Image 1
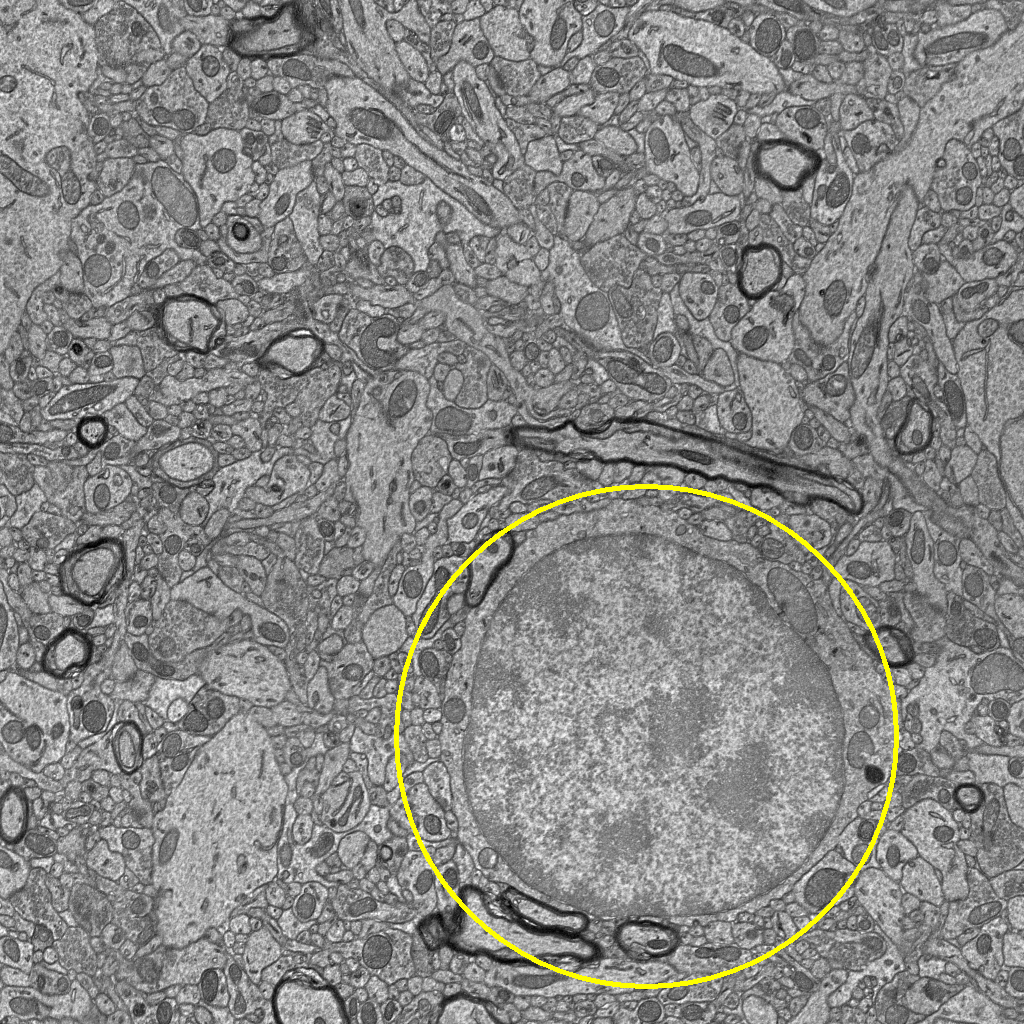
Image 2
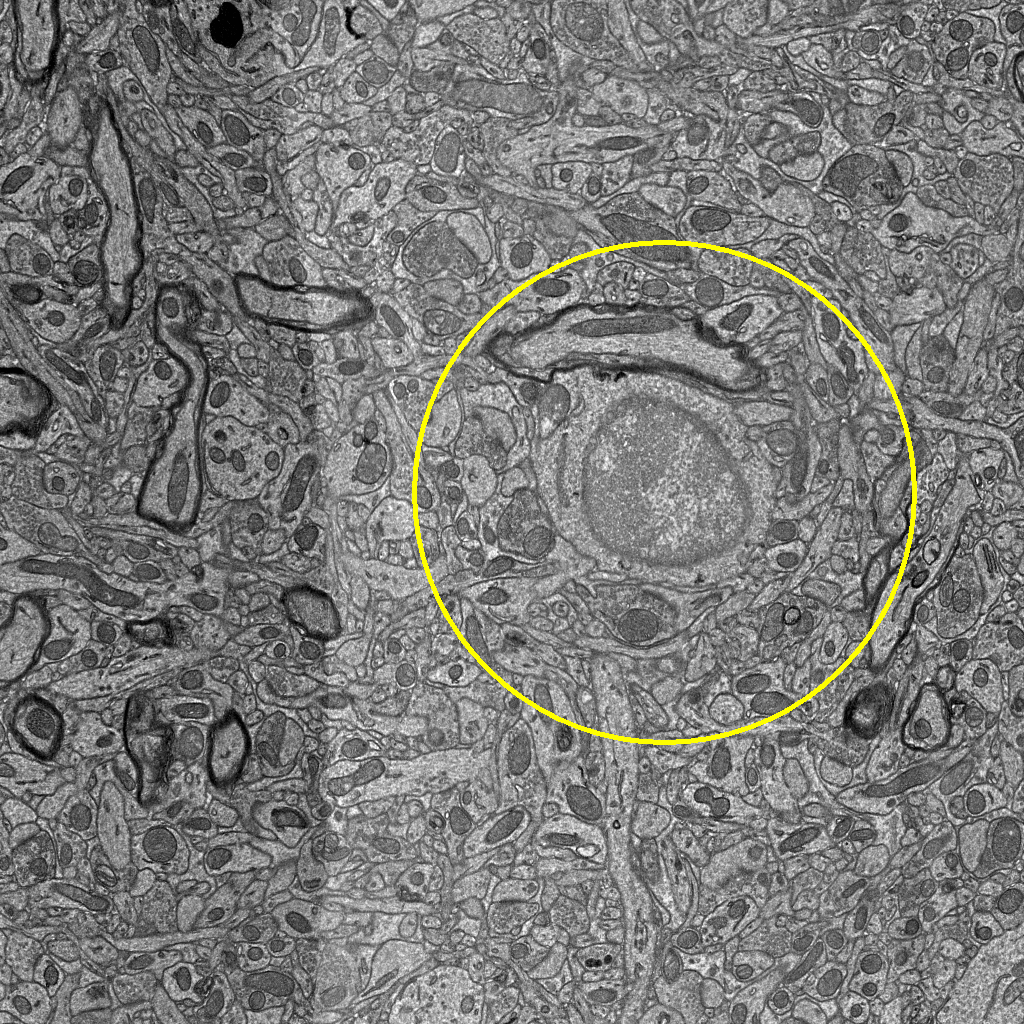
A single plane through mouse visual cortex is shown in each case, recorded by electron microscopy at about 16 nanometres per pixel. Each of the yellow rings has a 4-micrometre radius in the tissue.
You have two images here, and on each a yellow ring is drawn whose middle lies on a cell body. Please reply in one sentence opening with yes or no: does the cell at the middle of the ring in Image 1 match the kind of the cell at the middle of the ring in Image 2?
Yes, the two images show cells of one kind at the centres of their rings.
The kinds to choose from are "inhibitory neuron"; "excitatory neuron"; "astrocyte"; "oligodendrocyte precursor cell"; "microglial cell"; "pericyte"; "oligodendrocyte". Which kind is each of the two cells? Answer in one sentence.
Both rings mark an oligodendrocyte, one in each picture.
